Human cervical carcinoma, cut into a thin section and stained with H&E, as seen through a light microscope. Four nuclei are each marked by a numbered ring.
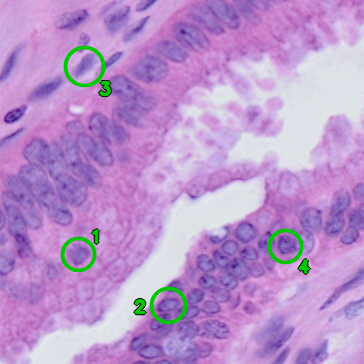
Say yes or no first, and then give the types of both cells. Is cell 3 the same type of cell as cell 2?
No, that's off: cell 3 is a fibroblast and cell 2 is a secretory epithelial cell.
